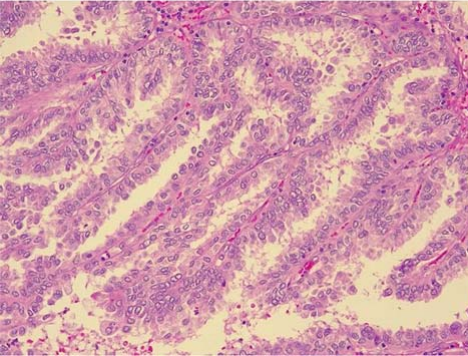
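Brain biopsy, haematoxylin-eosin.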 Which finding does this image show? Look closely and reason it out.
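Papillary carcinoma. Papillae lined by crowded atypical epithelial cells. Cells have enlarged oval nuclei with pale chromatin. Cells are stratified along the papillae.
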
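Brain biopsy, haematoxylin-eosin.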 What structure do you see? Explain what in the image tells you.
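Elongated finger-like projections with thin fibrovascular cores. Cores are lined by epithelial cells facing open spaces. Projections branch.
Conclusion: Papillary growth pattern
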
